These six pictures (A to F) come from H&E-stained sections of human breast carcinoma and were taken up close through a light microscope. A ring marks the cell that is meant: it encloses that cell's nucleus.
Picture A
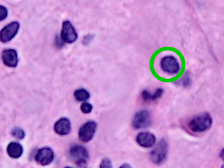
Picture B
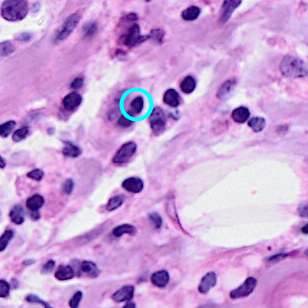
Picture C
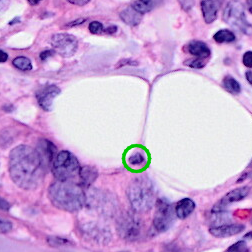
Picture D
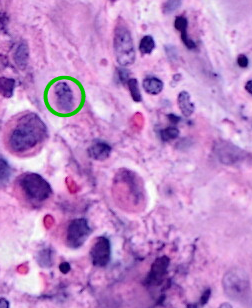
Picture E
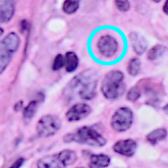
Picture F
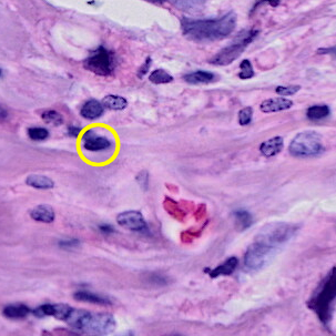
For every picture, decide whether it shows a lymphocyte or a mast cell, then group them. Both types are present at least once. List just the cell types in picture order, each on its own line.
lymphocyte
lymphocyte
lymphocyte
mast cell
mast cell
lymphocyte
